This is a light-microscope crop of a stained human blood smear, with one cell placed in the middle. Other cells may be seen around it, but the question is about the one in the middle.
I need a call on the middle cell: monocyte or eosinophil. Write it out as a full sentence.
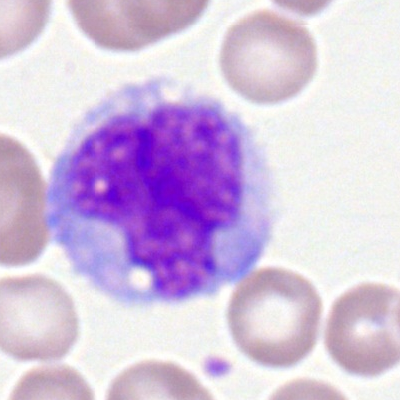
The central element of this crop is a cell, namely a monocyte.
